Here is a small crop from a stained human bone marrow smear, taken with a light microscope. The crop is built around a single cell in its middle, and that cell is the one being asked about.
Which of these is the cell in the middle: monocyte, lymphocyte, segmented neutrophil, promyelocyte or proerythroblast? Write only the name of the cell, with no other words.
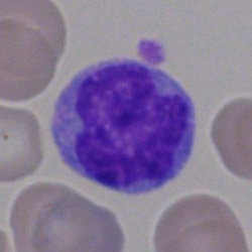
monocyte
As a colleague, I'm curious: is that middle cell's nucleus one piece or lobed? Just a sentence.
The nuclear material is gathered into one compact round, oval or kidney-shaped mass.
